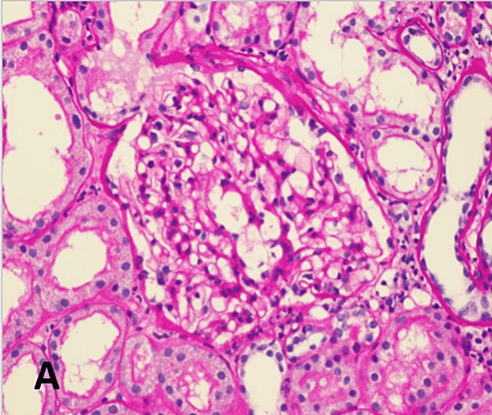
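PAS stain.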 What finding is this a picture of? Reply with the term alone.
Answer: Endocapillary foam cell accumulation.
